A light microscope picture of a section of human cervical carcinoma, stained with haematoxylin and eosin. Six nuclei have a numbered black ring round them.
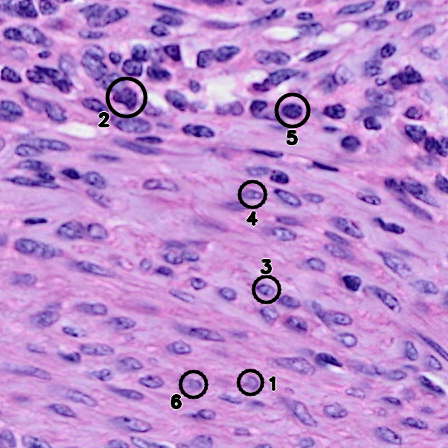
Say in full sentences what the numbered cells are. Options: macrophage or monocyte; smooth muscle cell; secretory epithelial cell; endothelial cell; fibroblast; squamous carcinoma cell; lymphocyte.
Cells 1, 3, 4 and 6 are smooth muscle cells. Cells 2 and 5 are lymphocytes.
